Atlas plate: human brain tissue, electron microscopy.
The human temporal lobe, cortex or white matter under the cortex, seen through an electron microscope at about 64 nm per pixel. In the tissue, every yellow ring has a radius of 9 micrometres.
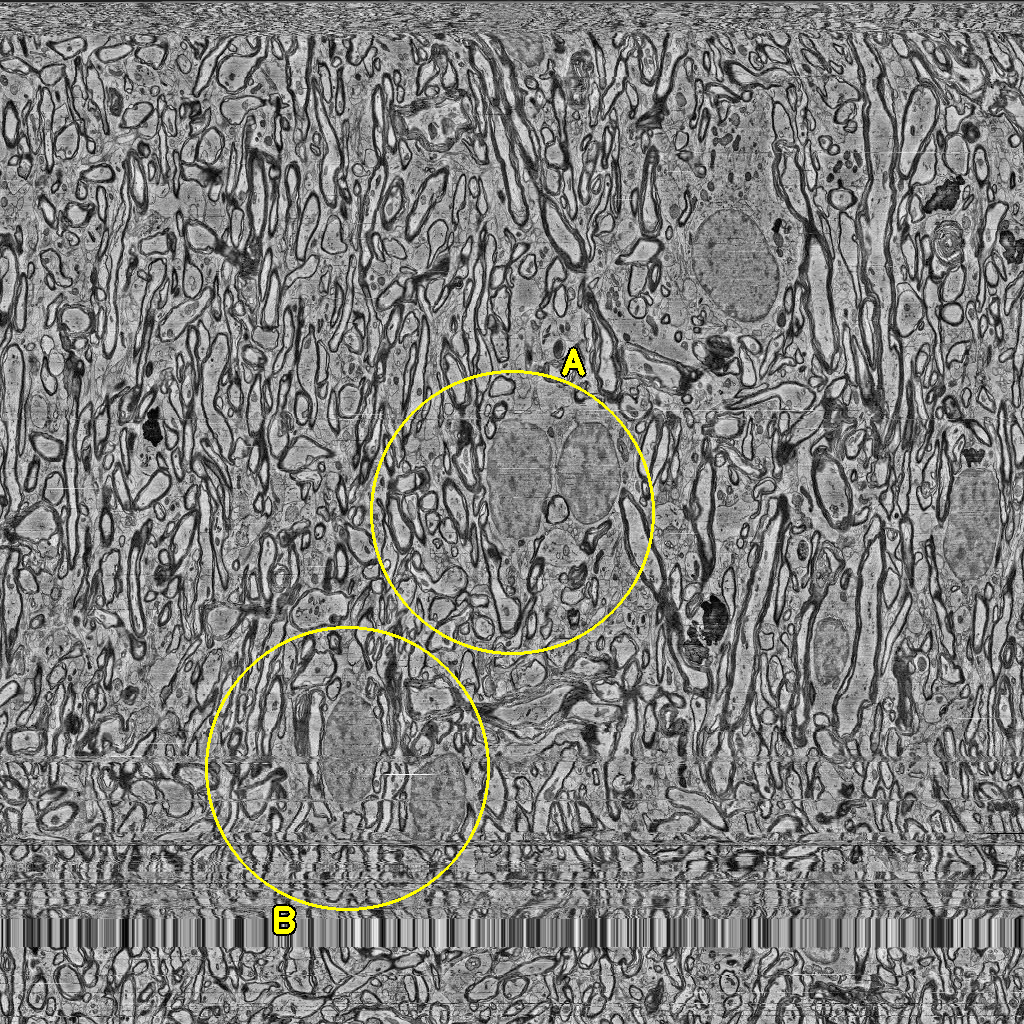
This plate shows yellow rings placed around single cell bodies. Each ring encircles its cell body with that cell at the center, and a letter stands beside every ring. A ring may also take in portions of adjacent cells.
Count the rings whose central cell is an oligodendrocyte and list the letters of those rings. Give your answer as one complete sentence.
In the micrograph, two rings with the letters A and B are each centred on an oligodendrocyte.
